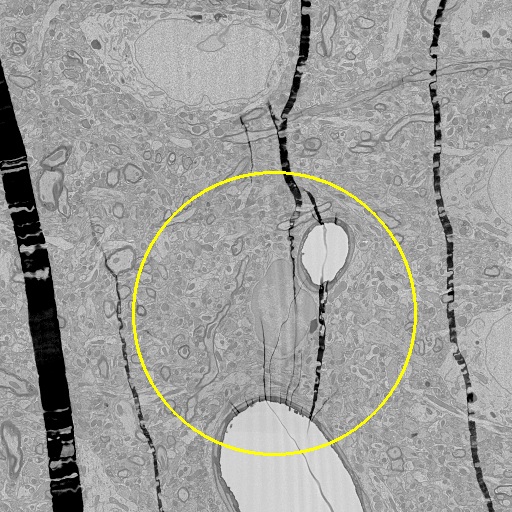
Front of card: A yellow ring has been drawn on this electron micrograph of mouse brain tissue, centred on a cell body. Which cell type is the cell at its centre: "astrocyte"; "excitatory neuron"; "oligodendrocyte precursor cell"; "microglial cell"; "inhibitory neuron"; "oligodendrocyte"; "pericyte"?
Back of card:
microglial cell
